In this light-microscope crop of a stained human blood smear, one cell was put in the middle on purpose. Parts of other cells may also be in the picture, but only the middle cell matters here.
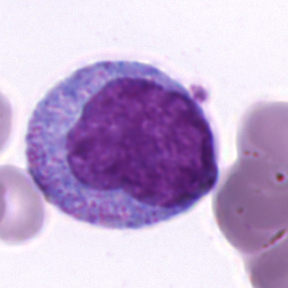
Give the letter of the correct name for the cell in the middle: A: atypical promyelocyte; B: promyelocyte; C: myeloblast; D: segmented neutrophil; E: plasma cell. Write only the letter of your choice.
B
